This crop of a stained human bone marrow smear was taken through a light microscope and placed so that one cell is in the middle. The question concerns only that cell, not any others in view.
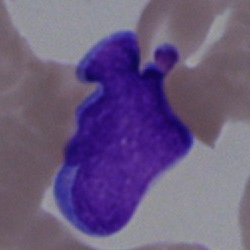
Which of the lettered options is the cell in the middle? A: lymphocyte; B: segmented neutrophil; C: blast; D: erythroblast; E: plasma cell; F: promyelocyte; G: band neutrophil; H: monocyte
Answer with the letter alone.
C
